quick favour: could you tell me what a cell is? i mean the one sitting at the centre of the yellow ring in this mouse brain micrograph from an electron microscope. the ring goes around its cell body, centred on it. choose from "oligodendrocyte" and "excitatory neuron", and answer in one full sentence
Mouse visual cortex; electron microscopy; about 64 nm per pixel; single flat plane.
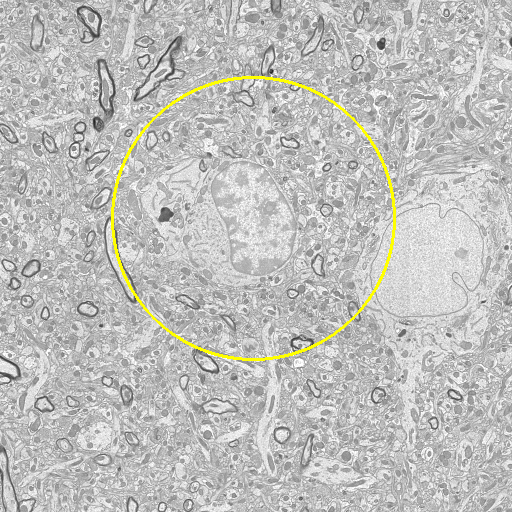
That's an oligodendrocyte, the cell sitting at the centre of the yellow ring.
